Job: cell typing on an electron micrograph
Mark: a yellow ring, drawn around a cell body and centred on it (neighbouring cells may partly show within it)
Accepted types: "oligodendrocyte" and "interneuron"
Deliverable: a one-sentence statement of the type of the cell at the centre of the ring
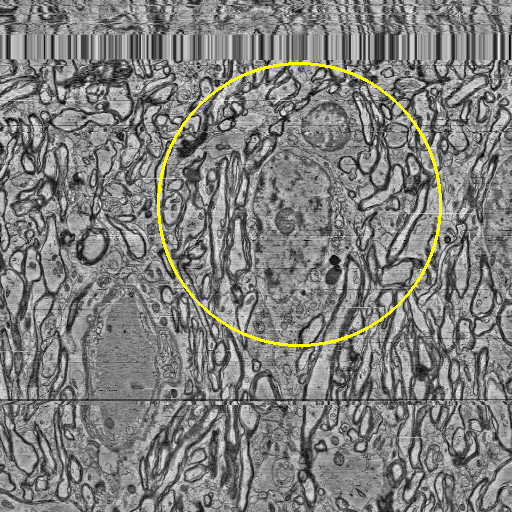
The centred cell body is that of an interneuron.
